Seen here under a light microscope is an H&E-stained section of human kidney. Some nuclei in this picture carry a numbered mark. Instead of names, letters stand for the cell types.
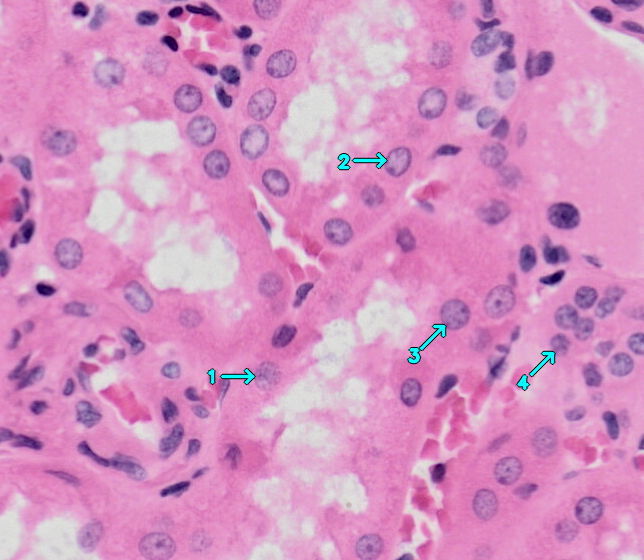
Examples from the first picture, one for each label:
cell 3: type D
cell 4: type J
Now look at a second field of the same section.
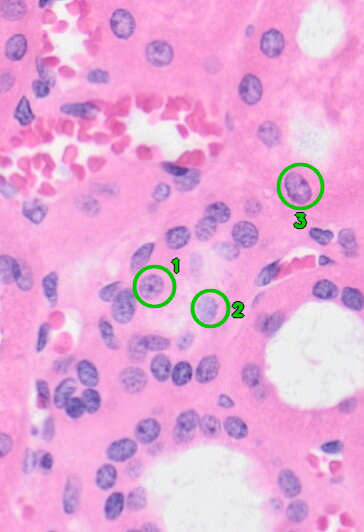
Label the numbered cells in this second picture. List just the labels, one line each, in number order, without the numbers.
type J
type J
type D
